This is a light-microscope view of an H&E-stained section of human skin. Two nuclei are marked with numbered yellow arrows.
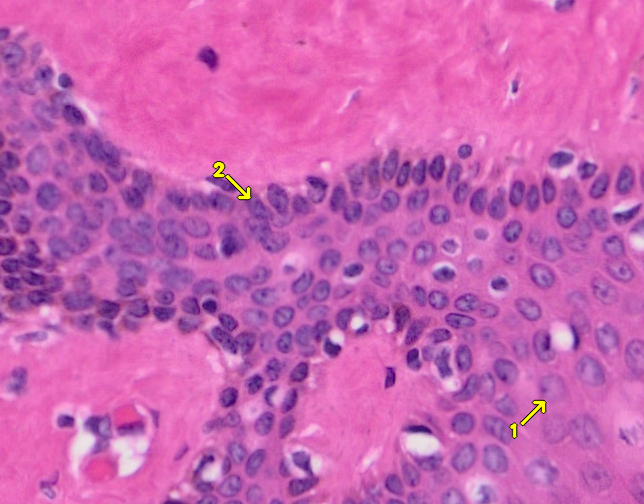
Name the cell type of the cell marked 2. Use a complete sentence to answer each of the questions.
The nucleus with number 2 is that of a basal keratinocyte.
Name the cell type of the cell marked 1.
The cell given label 1 is a suprabasal keratinocyte.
